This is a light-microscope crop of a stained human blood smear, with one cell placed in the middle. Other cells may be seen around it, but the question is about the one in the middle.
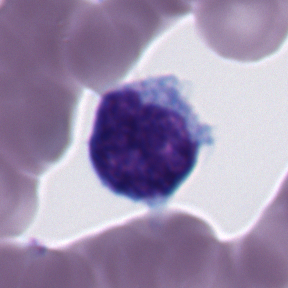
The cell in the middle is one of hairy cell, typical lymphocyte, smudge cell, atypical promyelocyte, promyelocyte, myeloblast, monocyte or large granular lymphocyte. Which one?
typical lymphocyte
